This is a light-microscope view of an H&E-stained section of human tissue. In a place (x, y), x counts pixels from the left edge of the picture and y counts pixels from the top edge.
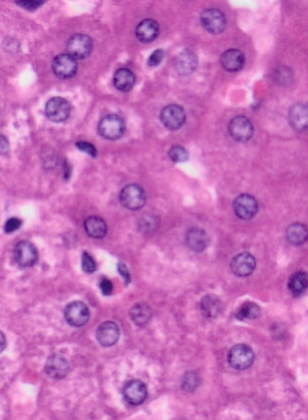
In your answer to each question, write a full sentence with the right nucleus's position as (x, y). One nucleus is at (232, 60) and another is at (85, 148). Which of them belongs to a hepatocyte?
Out of the two, it is the nucleus at (232, 60) that belongs to a hepatocyte.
